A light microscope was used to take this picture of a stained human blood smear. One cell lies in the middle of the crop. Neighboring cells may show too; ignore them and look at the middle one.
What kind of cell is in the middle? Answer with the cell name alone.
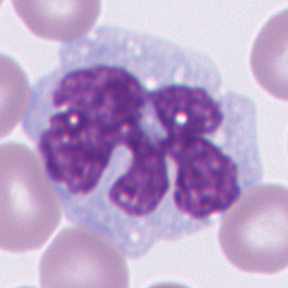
monocyte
